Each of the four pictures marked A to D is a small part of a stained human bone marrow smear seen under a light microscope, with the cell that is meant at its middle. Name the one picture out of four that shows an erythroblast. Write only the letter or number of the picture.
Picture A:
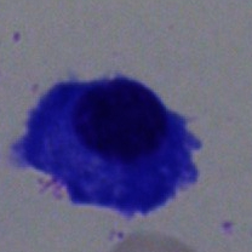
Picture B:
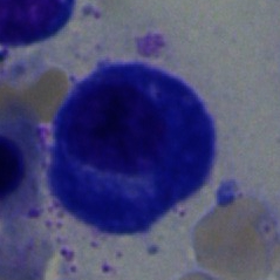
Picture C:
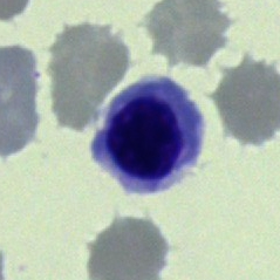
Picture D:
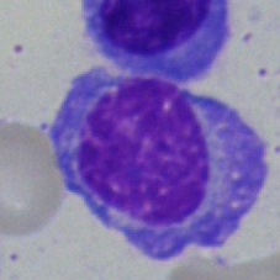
C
